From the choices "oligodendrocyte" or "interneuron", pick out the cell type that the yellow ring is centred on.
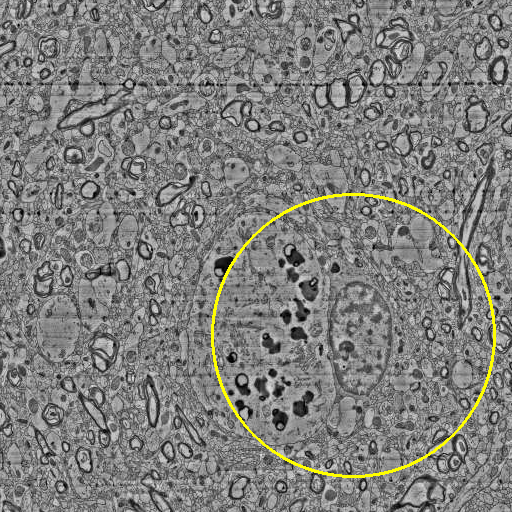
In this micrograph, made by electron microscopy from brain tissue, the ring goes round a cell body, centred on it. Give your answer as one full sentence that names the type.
The yellow ring is centred on an oligodendrocyte, whose cell body it encircles in the picture.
